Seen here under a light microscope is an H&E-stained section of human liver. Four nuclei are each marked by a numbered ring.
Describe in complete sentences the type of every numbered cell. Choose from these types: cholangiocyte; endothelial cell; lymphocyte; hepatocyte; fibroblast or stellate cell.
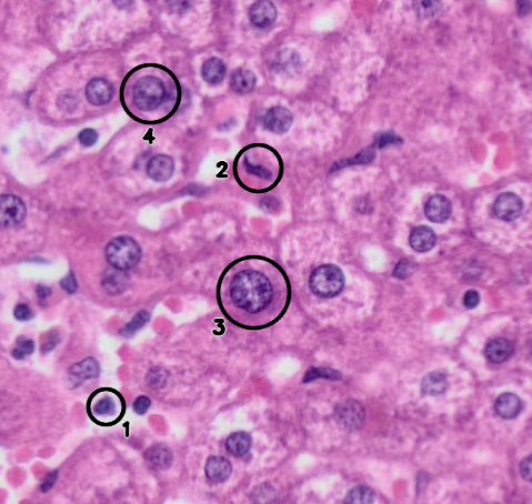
Cell 1 is a lymphocyte, cell 2 is a fibroblast or stellate cell, cell 3 is a hepatocyte and cell 4 is a hepatocyte.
